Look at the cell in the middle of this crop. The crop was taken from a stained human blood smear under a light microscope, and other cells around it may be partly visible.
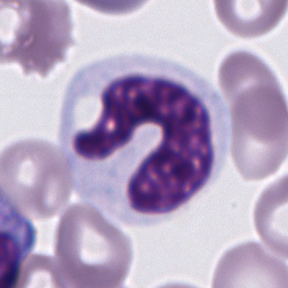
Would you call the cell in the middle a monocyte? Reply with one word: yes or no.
no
